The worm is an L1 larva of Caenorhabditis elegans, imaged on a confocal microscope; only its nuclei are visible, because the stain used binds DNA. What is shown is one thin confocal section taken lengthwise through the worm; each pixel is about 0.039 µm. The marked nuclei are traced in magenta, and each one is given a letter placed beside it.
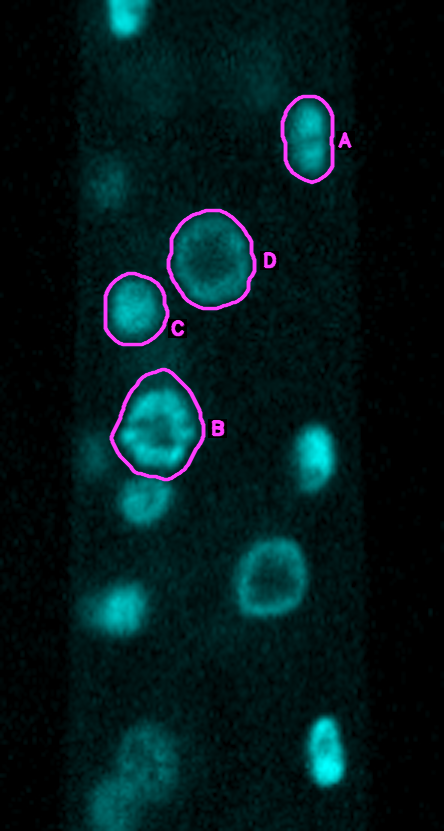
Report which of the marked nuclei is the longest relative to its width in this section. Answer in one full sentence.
Of the marked nuclei, A is the most stretched out.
